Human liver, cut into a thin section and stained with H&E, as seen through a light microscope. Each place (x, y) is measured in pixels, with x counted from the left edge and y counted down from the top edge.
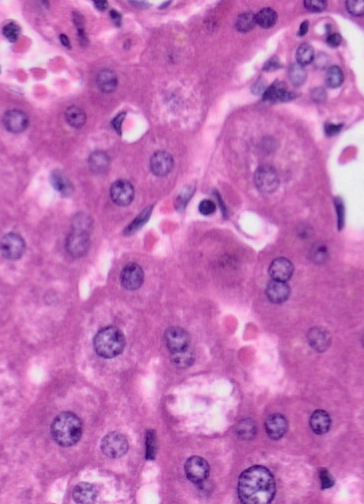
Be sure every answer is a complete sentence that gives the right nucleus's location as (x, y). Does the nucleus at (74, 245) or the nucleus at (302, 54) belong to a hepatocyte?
The nucleus at (74, 245) is assigned to a hepatocyte.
